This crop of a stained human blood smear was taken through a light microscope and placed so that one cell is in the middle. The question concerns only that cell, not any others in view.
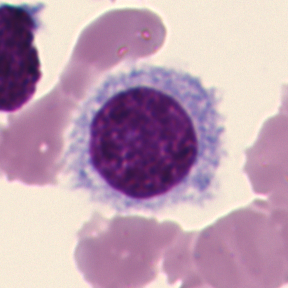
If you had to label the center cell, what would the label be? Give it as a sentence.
The cell shown in the center of this light-microscope crop is a hairy cell.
